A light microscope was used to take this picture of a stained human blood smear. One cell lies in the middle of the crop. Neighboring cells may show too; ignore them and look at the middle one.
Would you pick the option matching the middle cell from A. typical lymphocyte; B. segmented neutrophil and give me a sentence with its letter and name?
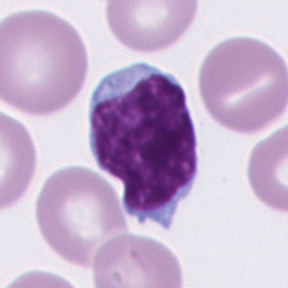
The right choice is option A: the cell in the middle is a typical lymphocyte.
